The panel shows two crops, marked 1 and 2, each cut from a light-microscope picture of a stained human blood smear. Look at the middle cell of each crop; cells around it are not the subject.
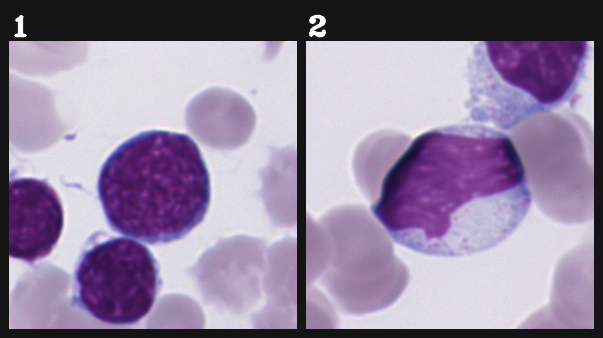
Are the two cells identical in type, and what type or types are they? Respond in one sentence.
No, while a myeloblast is found in crop 1, a large granular lymphocyte is found in crop 2.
